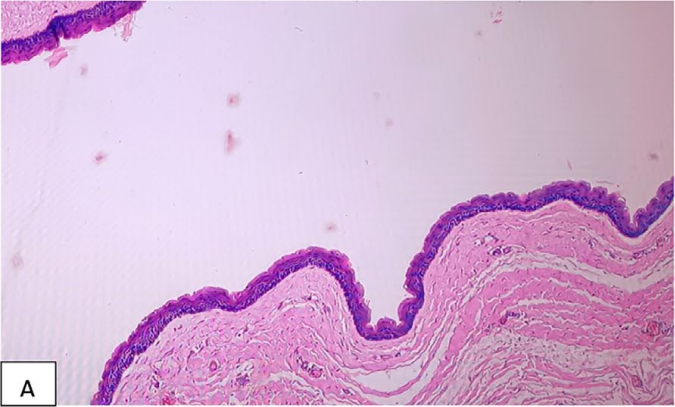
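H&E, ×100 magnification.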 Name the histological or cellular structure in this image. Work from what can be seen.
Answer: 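A large empty lumen is bordered by an epithelial lining on opposite sides. The lining folds along a wall of pink fibrous tissue. That points to this answer: cystic lesion.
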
